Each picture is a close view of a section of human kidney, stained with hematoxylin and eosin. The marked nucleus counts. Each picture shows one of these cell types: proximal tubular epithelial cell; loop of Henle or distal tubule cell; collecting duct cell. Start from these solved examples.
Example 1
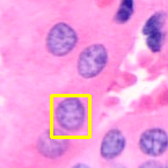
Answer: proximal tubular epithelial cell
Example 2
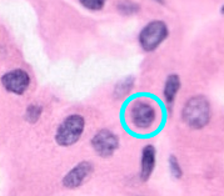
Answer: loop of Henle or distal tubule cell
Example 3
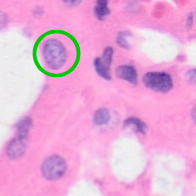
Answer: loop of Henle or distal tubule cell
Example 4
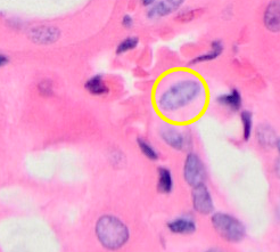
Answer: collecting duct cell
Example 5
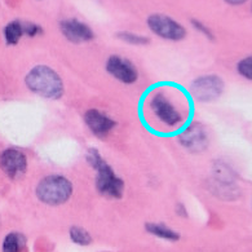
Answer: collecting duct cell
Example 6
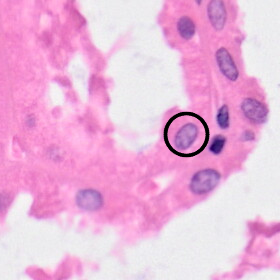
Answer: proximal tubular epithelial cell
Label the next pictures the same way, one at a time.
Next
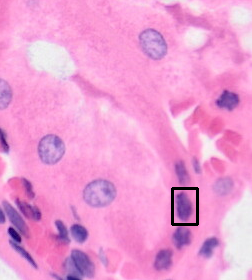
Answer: proximal tubular epithelial cell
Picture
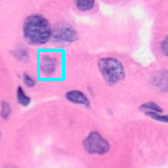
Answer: loop of Henle or distal tubule cell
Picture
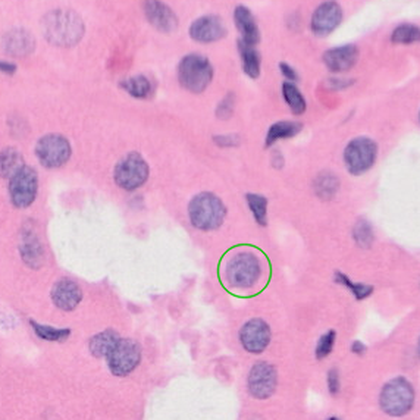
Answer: loop of Henle or distal tubule cell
